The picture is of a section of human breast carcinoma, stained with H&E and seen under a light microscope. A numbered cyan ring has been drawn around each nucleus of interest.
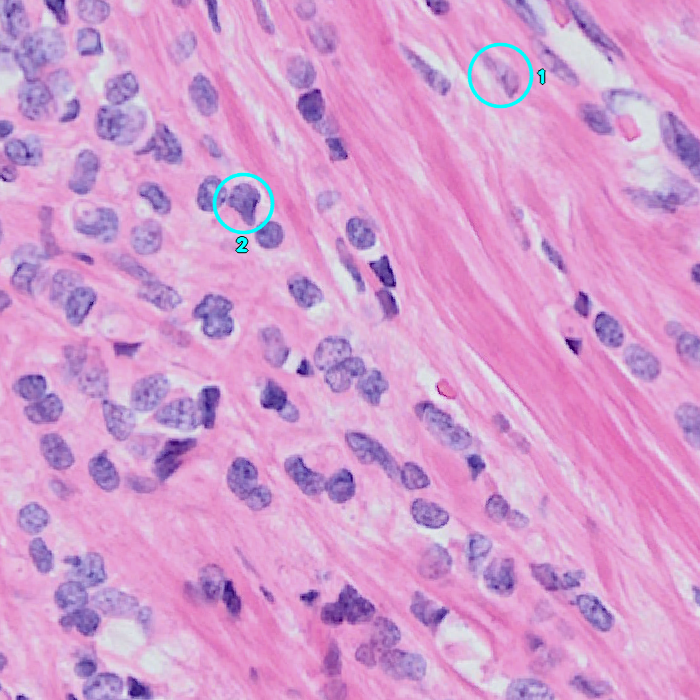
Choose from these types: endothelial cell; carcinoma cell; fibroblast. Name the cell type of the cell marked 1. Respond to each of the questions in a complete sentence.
The cell given label 1 is a fibroblast.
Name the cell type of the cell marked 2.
The cell whose nucleus carries the number 2 is a carcinoma cell.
